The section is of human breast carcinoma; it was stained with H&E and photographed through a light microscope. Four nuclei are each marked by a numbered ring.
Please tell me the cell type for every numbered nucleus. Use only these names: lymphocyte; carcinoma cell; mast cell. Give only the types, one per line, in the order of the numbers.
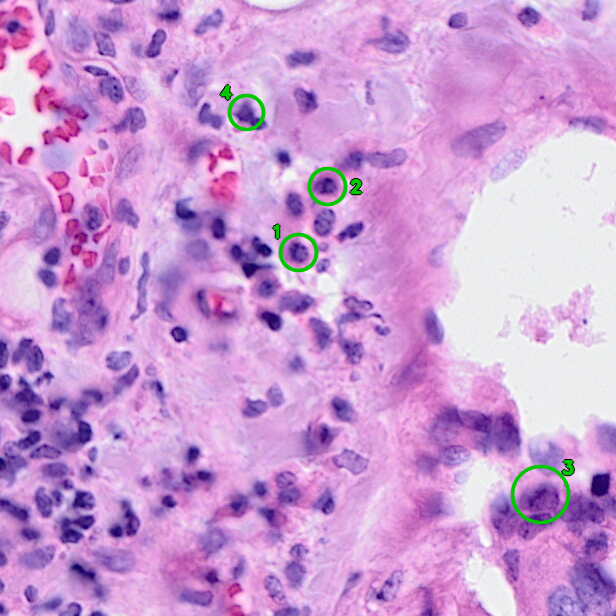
mast cell
mast cell
carcinoma cell
lymphocyte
